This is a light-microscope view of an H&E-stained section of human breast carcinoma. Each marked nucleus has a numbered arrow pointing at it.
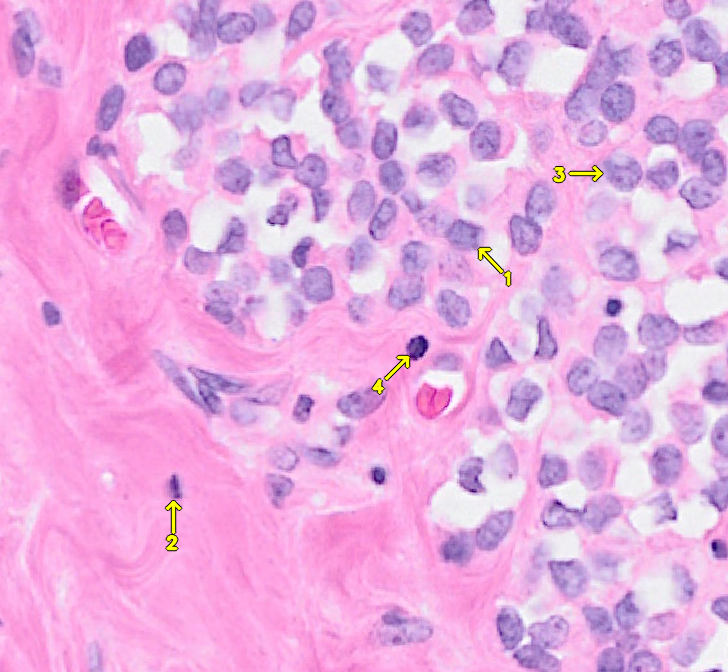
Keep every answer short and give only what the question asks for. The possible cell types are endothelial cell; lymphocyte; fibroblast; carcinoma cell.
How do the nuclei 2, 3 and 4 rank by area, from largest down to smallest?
3, 4, 2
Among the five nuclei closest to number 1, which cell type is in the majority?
carcinoma cell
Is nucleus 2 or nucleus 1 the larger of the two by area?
1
